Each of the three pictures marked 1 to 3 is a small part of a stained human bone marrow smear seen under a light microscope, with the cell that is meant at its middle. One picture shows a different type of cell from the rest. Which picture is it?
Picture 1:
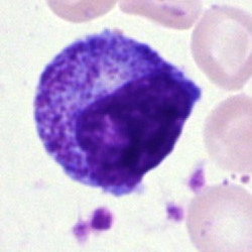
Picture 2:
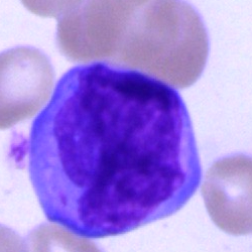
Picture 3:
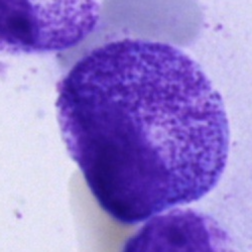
2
